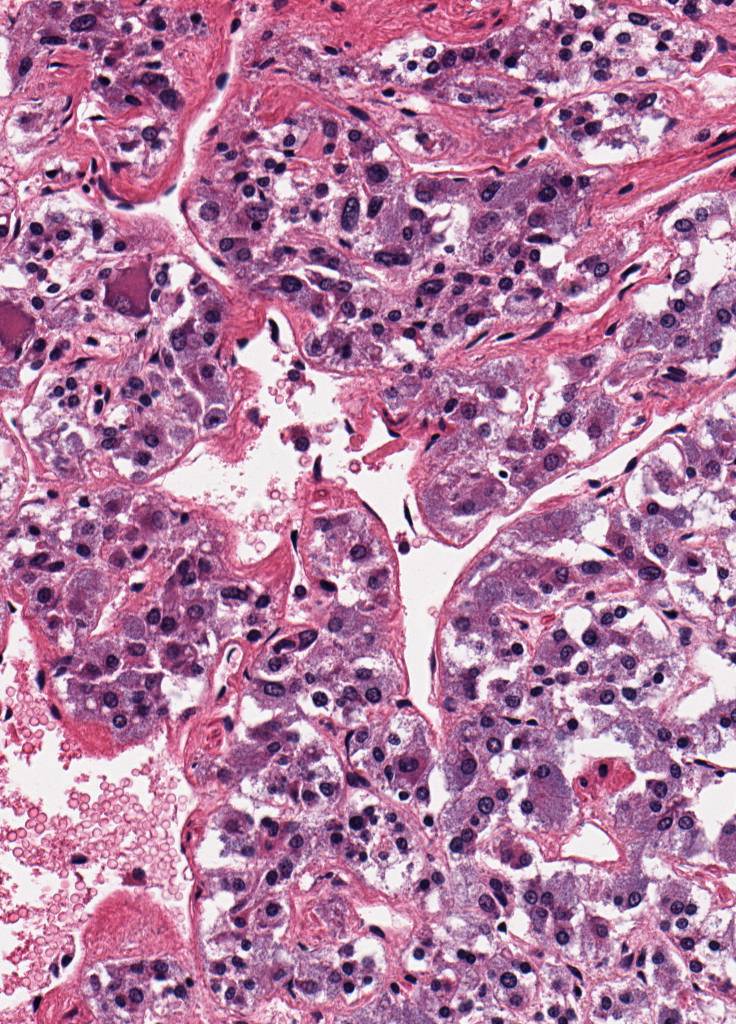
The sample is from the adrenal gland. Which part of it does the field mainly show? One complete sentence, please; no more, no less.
The tissue part that this image captures is medulla.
